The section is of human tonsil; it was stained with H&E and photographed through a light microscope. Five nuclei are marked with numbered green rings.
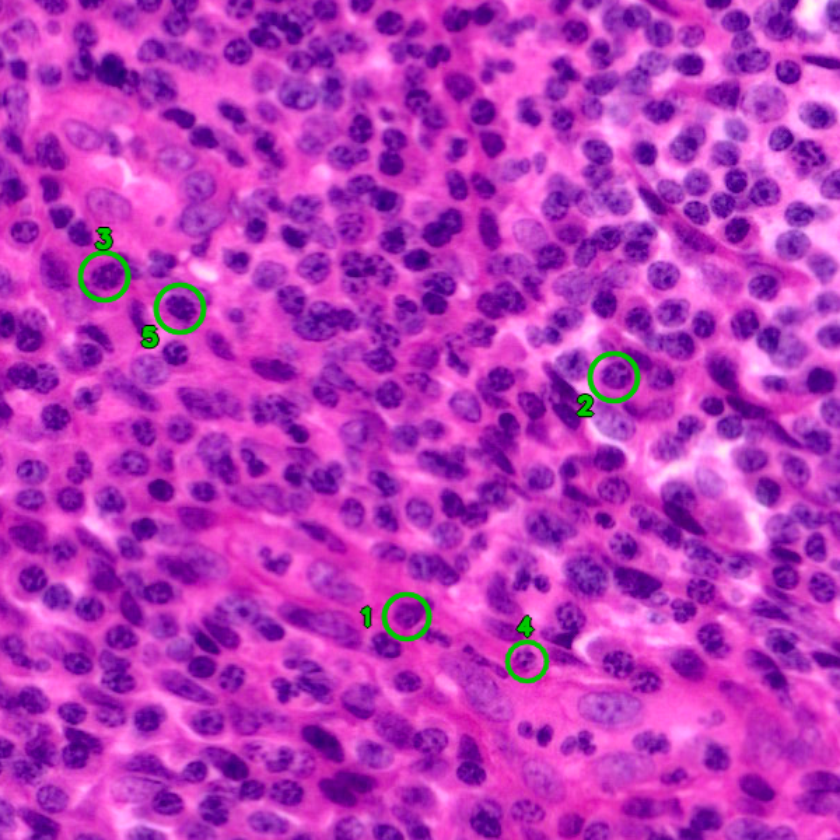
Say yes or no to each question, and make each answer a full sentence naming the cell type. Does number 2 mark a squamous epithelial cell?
No, the cell at marker 2 is not a squamous epithelial cell; it is a plasma cell.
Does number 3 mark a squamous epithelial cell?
No, cell number 3 is identified as a plasma cell, not as a squamous epithelial cell.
